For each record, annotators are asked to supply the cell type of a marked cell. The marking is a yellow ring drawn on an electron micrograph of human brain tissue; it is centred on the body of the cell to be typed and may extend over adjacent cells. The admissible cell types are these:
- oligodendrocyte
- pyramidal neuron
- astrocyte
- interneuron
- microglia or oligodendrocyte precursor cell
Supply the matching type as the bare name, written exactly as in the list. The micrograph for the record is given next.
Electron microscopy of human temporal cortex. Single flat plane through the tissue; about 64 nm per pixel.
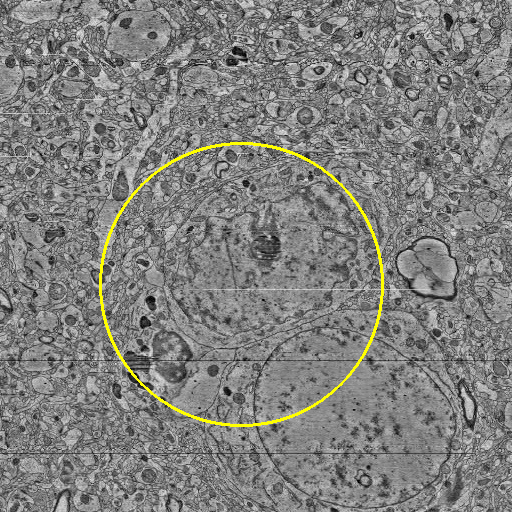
interneuron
